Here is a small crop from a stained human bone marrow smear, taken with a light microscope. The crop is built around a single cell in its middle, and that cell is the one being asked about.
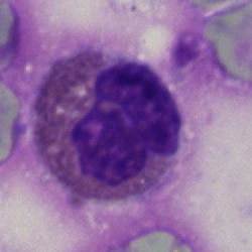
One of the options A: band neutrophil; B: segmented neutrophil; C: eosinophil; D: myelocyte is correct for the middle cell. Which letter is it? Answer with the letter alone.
C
